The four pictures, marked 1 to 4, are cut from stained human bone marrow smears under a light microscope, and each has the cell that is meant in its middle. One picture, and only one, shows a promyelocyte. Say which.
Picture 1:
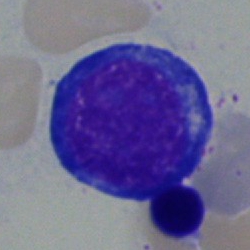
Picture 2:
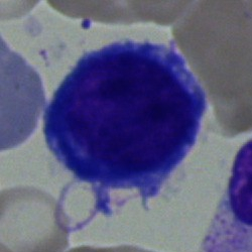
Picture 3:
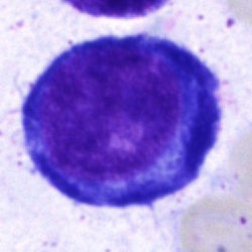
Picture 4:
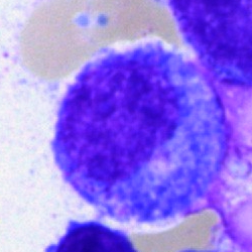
4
